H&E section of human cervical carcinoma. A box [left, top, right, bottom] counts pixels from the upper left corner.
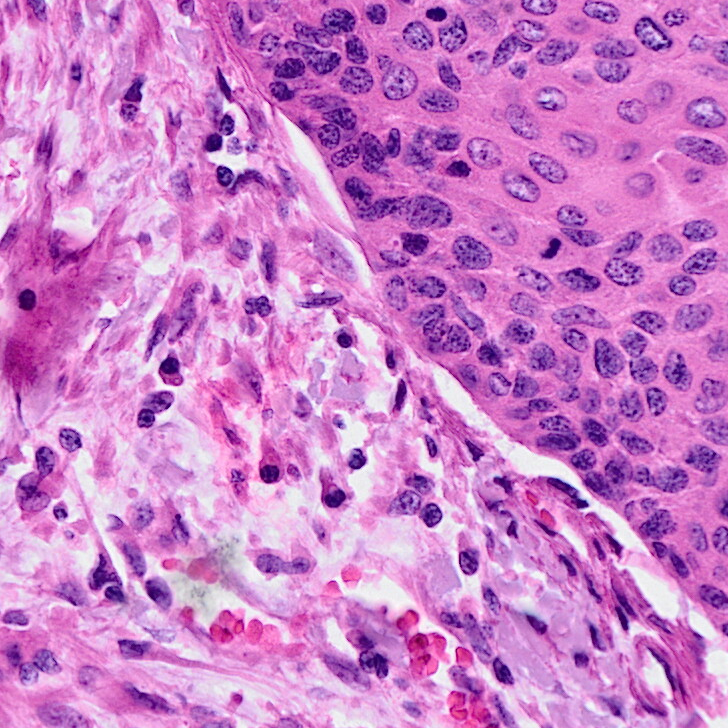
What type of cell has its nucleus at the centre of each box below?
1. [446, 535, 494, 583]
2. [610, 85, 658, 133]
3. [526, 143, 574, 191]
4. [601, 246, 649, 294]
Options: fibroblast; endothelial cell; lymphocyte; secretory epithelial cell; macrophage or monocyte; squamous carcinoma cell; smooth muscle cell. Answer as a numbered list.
1. macrophage or monocyte
2. squamous carcinoma cell
3. squamous carcinoma cell
4. squamous carcinoma cell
